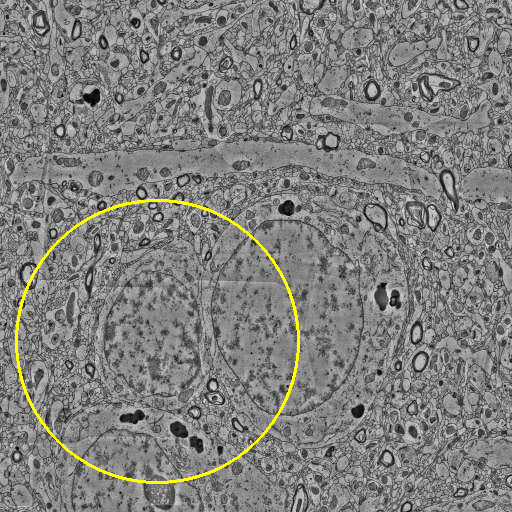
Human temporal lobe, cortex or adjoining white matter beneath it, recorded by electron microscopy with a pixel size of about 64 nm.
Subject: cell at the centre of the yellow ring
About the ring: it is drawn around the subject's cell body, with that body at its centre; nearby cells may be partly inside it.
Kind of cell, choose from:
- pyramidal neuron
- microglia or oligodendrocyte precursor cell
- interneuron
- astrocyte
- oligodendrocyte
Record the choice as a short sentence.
The subject cell is an interneuron.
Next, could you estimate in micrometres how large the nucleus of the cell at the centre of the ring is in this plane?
The ringed cell's nucleus measures approximately 8 by 7 micrometres in this plane.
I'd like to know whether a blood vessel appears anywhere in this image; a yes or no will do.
No.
